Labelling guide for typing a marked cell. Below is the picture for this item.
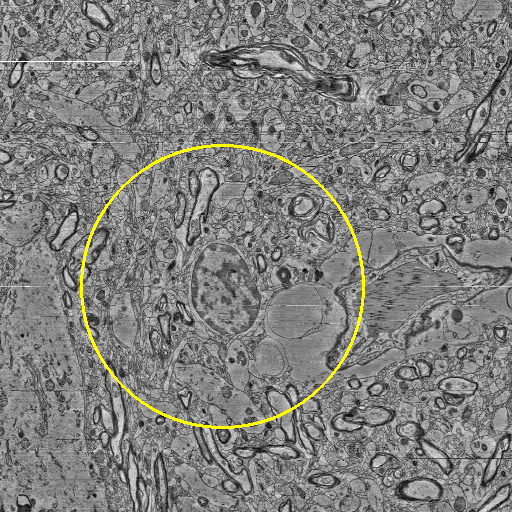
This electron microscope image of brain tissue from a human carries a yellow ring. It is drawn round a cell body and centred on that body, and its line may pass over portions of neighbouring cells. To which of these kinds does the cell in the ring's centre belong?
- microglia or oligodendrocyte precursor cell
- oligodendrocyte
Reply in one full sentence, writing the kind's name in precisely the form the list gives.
Here we have a microglial cell or oligodendrocyte precursor cell at the centre of the yellow ring in the picture.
